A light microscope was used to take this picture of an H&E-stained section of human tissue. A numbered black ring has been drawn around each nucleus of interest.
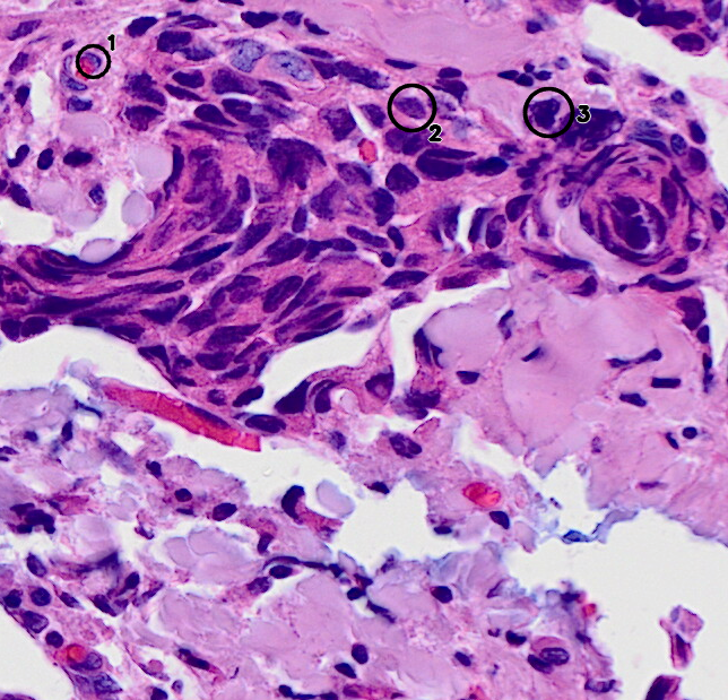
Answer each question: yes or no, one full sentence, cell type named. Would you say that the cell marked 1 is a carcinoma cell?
No, the cell referred to as 1 is an endothelial cell, not a carcinoma cell.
